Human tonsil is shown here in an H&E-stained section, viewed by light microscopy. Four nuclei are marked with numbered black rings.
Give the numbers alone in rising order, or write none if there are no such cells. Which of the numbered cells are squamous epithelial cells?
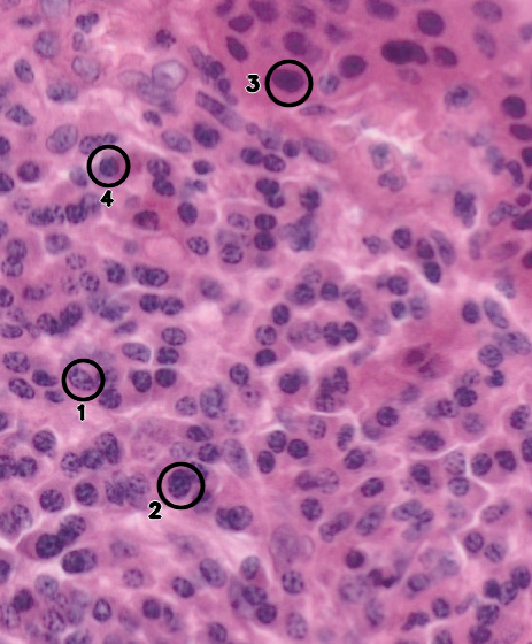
3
